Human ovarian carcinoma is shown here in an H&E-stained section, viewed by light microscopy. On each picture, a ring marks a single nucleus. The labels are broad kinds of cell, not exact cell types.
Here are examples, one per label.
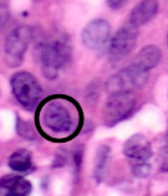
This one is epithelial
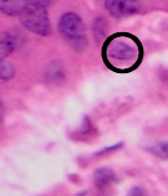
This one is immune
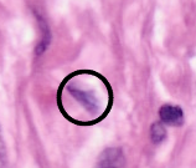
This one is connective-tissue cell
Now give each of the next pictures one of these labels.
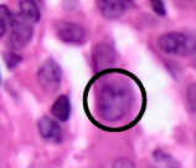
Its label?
epithelial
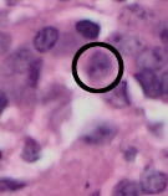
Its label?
immune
